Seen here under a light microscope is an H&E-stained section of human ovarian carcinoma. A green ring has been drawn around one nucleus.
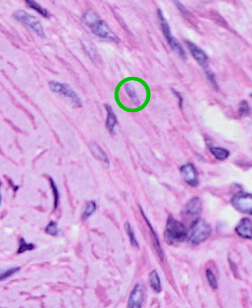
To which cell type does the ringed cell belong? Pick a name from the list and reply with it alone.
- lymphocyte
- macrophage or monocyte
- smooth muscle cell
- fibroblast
fibroblast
